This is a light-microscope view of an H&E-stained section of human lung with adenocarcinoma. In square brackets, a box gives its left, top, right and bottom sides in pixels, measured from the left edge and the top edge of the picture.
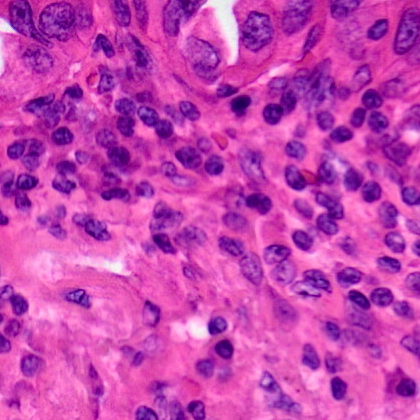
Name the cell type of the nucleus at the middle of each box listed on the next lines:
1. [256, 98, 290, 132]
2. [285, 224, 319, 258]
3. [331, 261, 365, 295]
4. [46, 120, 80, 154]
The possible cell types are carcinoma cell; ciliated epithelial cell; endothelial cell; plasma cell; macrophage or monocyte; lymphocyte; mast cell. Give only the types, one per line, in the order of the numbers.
lymphocyte
lymphocyte
lymphocyte
plasma cell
